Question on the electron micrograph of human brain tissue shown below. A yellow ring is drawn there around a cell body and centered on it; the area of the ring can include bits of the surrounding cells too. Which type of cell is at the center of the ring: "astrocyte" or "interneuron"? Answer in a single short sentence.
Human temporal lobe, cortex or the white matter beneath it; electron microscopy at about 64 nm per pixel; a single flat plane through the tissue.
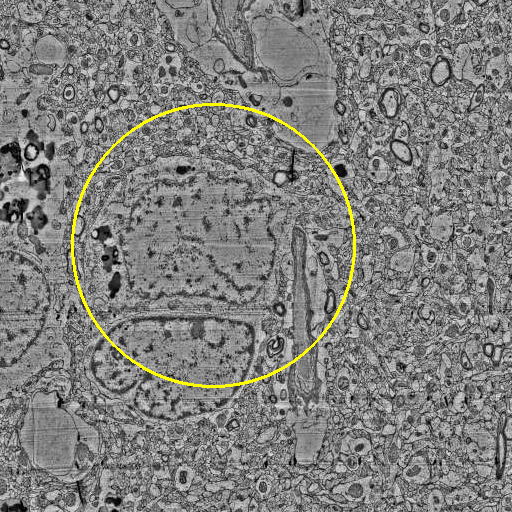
The ring is centered on an interneuron.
